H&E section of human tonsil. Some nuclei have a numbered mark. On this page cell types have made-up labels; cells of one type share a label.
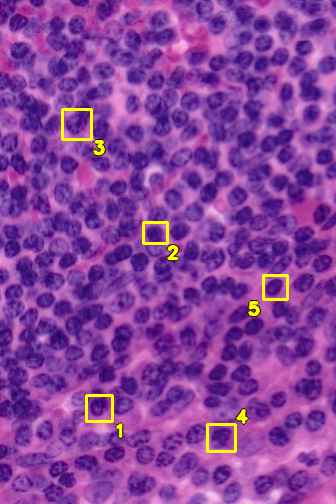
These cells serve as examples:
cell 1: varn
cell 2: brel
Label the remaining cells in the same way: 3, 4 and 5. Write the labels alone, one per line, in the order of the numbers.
brel
varn
varn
